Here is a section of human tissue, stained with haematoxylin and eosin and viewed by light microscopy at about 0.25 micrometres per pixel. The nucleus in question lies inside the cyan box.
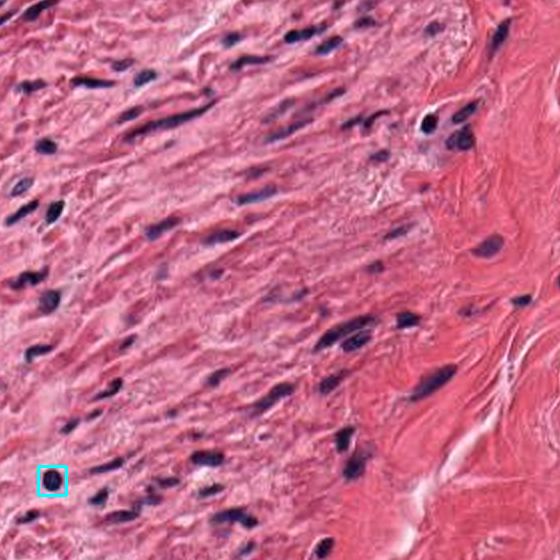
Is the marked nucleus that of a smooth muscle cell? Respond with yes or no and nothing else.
no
